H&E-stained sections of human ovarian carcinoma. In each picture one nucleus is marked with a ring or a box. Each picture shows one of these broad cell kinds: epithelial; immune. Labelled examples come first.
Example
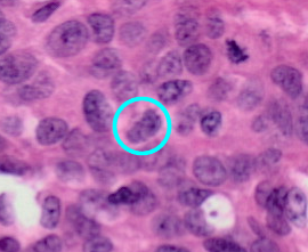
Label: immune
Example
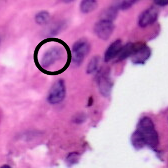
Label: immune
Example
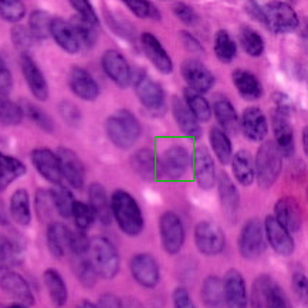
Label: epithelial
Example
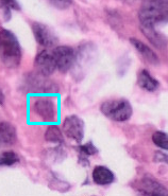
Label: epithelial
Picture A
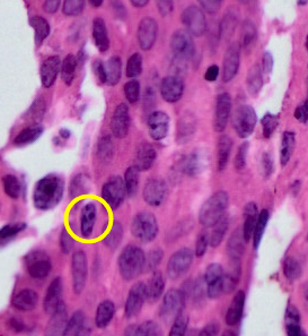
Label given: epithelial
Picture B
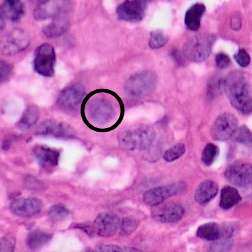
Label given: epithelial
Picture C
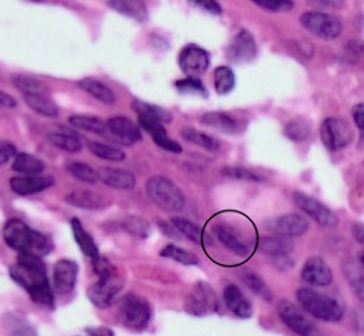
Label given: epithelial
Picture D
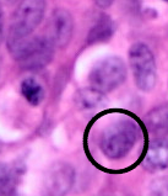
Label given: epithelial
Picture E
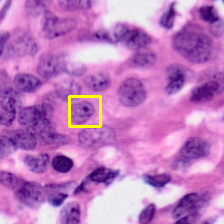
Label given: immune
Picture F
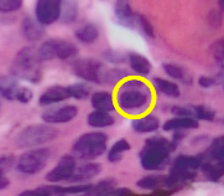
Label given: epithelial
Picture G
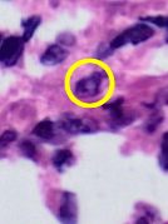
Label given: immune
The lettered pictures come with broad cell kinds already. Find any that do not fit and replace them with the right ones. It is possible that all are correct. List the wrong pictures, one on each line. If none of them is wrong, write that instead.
Wrong: A (epithelial); correct: immune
